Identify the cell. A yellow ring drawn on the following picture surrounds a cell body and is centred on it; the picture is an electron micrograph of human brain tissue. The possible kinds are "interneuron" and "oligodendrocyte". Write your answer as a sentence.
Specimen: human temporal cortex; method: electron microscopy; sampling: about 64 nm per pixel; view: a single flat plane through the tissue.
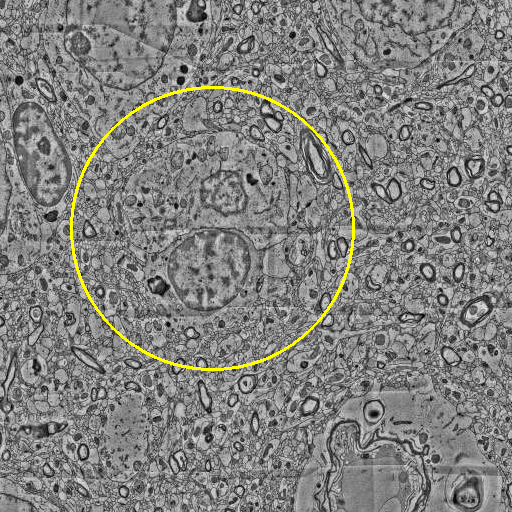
The cell identified by the ring is an oligodendrocyte.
